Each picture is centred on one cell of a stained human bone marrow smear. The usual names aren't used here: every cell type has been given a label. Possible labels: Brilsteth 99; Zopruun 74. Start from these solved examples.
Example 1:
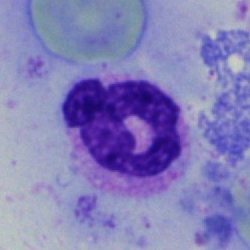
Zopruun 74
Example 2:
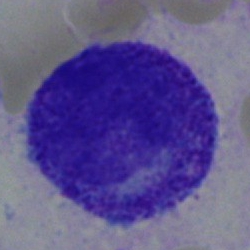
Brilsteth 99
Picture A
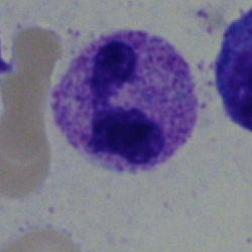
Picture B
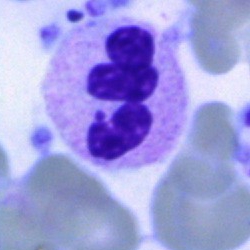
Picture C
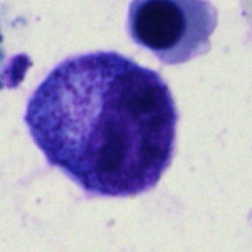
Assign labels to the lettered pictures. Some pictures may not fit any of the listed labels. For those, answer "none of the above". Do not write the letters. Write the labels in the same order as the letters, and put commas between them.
Zopruun 74, Zopruun 74, Brilsteth 99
